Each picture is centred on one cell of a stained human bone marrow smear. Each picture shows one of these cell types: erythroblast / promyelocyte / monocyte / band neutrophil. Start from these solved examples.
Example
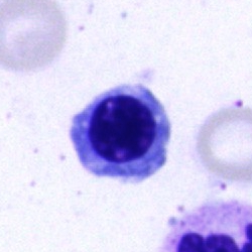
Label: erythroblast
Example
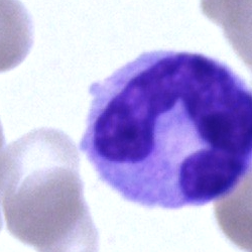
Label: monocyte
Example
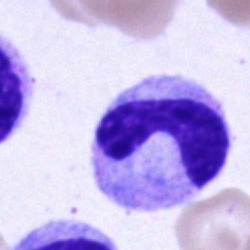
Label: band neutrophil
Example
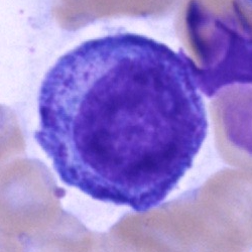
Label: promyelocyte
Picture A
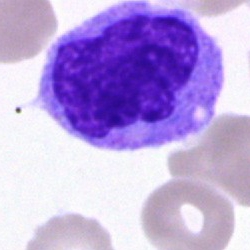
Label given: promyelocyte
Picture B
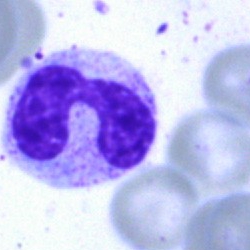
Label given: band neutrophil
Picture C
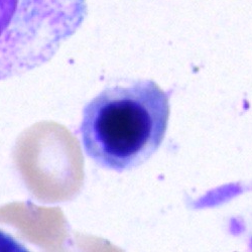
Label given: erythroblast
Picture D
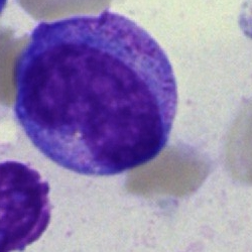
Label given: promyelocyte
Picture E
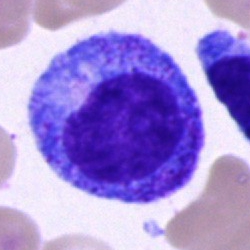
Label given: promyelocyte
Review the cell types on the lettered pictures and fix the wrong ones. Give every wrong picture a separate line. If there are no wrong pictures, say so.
A: not promyelocyte but monocyte
D: not promyelocyte but monocyte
